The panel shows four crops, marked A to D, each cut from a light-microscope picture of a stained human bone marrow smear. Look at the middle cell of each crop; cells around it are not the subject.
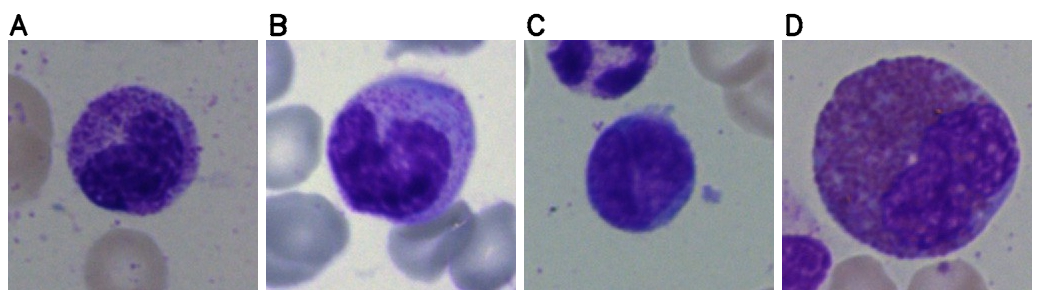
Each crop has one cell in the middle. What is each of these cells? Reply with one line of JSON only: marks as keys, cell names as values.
{"A": "metamyelocyte", "B": "monocyte", "C": "blast", "D": "eosinophil"}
